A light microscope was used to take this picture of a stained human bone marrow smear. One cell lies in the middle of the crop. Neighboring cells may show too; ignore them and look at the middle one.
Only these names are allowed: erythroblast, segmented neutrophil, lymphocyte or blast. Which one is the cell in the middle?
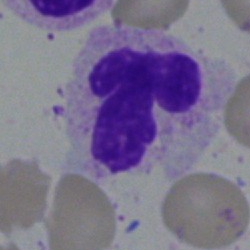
segmented neutrophil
